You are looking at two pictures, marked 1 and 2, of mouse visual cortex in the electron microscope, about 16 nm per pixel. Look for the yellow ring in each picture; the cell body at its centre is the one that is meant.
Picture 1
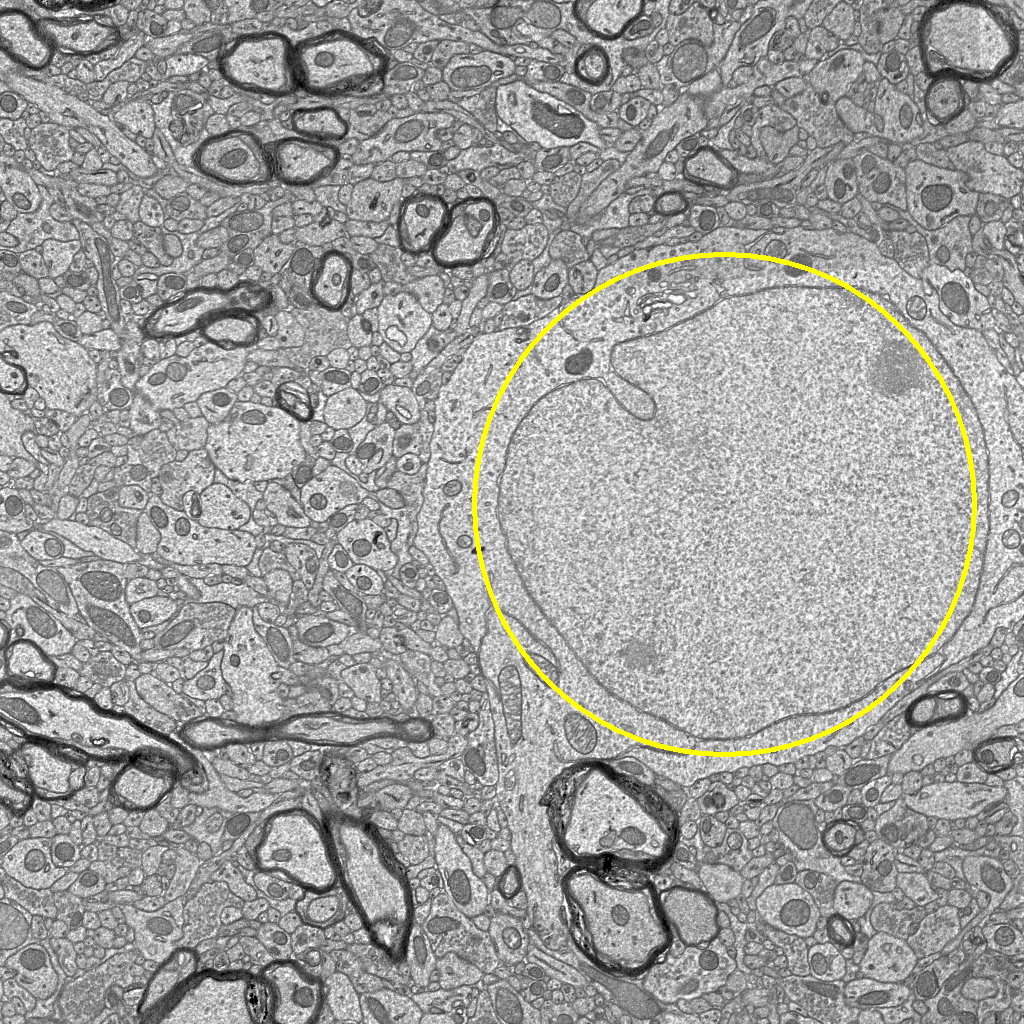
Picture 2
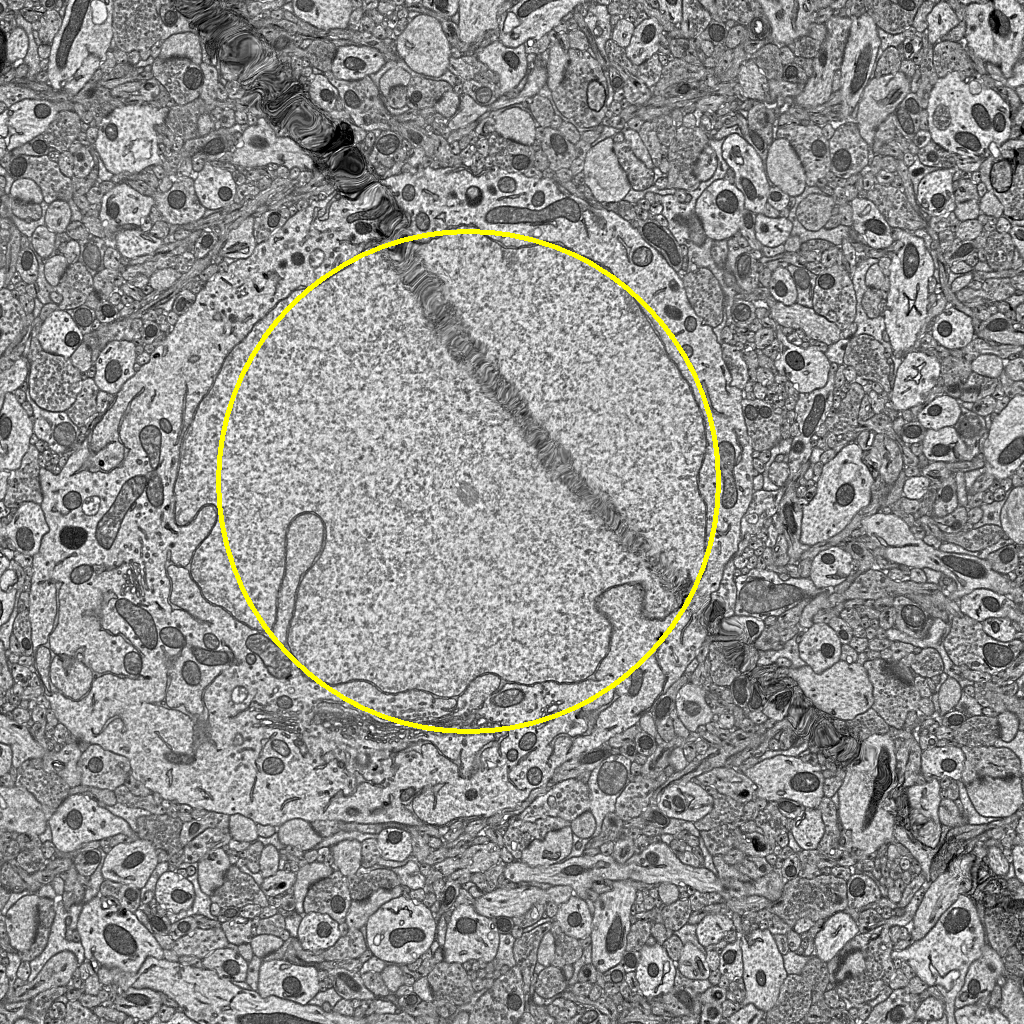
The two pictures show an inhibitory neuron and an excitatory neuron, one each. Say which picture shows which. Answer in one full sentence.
Picture 2 shows an inhibitory neuron, while picture 1 shows an excitatory neuron.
